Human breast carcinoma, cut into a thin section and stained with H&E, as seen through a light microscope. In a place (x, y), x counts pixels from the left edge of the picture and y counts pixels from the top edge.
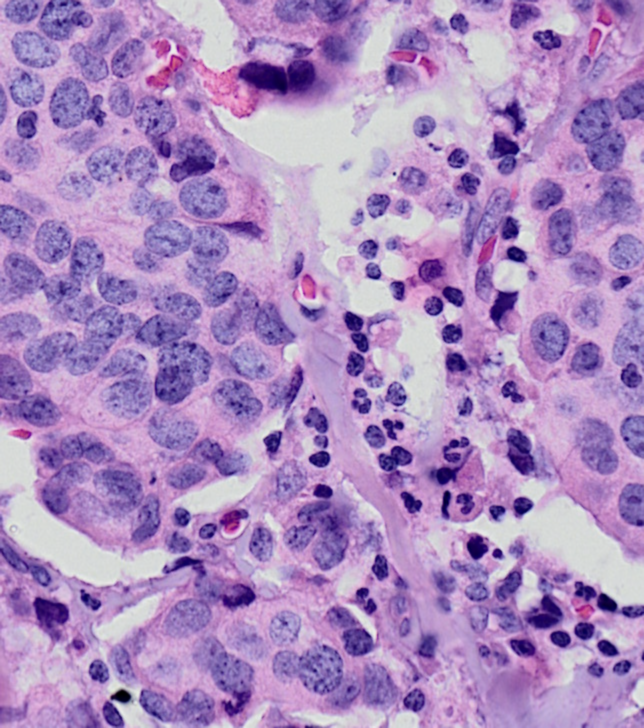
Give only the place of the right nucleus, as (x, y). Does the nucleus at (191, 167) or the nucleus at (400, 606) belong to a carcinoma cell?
(191, 167)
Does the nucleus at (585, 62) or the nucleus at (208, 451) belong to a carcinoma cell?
(208, 451)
